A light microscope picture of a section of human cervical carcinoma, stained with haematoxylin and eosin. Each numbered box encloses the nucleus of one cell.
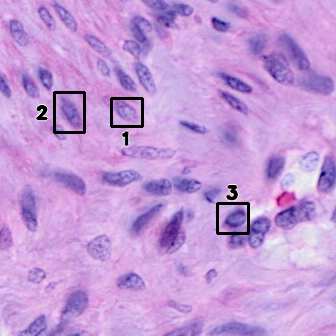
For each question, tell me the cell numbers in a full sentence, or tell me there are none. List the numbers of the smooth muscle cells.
Cells 1 and 2 are of one type, namely smooth muscle cells.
